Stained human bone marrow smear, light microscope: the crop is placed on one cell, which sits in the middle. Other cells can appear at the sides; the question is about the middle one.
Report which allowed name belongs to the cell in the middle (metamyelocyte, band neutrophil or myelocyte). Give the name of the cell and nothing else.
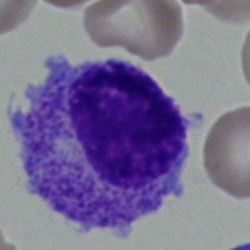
myelocyte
